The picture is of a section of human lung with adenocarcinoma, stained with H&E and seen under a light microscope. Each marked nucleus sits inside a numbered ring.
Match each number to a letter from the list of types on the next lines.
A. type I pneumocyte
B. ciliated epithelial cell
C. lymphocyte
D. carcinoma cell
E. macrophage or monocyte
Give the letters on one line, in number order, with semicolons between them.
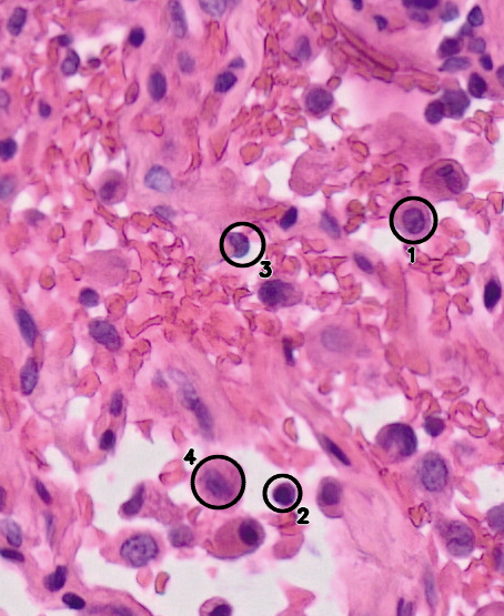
E; C; A; E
